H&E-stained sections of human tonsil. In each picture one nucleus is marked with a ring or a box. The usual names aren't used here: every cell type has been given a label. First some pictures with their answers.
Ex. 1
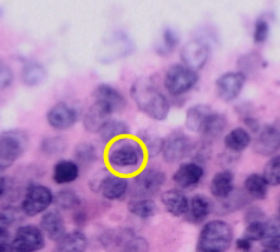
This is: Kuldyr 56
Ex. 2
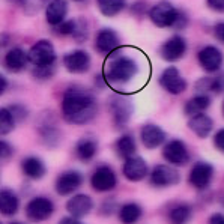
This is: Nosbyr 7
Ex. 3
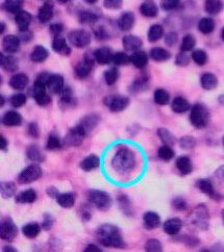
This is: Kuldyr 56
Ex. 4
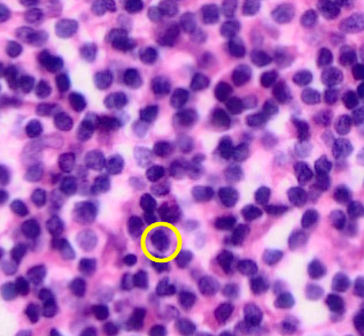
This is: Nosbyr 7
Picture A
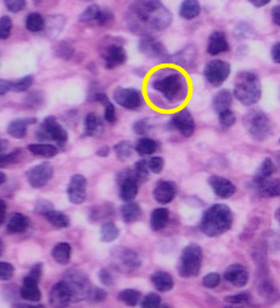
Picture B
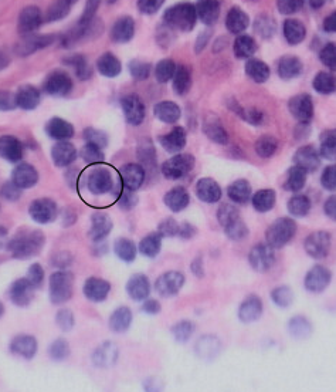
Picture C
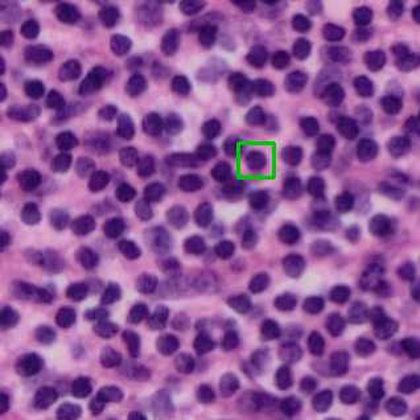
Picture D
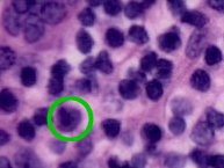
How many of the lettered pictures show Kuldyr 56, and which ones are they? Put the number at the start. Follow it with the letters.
2, namely A, D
